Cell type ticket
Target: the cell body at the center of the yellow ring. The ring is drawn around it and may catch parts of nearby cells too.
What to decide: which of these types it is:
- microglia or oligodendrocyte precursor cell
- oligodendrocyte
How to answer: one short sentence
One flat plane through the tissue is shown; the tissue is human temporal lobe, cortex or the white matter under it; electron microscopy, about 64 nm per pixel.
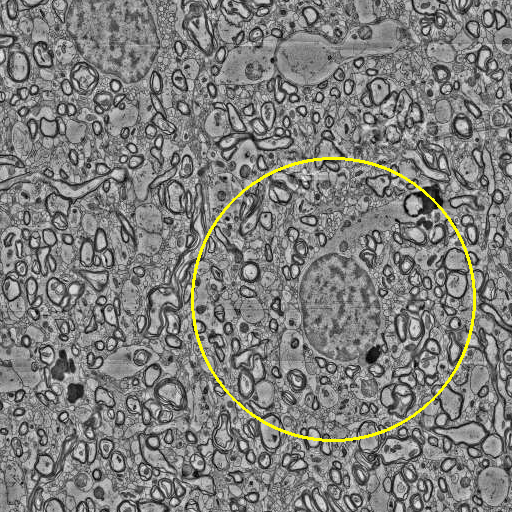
The cell at the center of the ring is an oligodendrocyte.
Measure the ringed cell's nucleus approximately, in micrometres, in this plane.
Roughly 7 micrometres by 5 micrometres, in this plane.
